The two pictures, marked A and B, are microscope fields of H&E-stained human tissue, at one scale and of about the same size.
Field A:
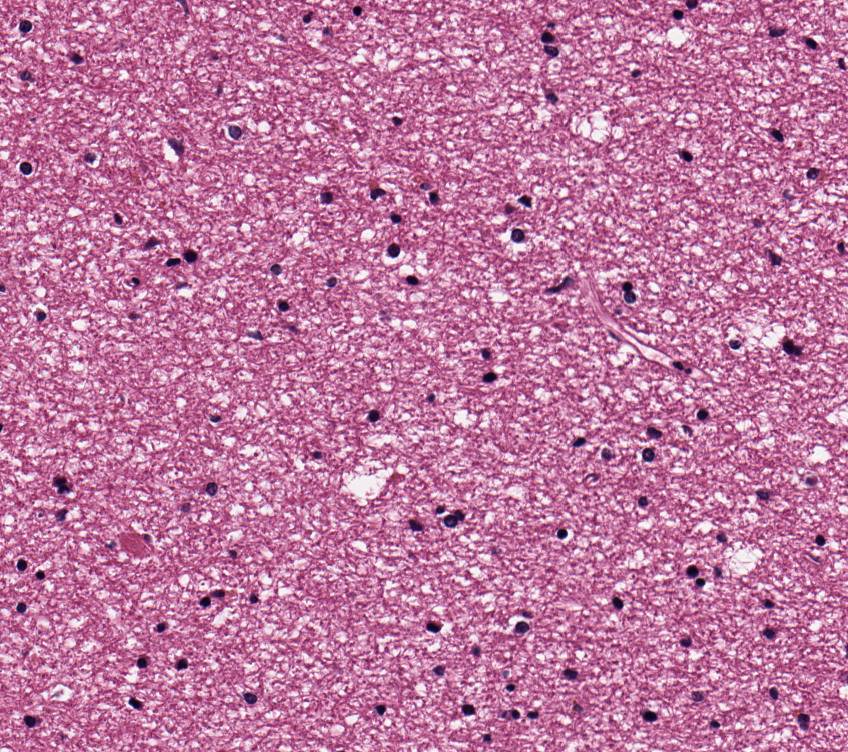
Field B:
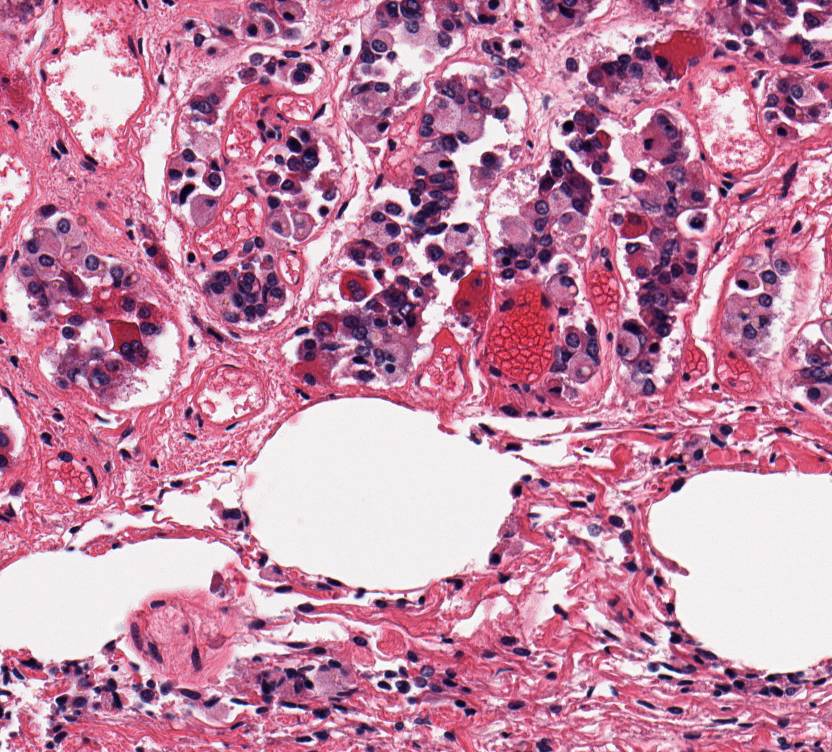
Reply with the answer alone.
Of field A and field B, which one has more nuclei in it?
B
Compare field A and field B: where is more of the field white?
B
